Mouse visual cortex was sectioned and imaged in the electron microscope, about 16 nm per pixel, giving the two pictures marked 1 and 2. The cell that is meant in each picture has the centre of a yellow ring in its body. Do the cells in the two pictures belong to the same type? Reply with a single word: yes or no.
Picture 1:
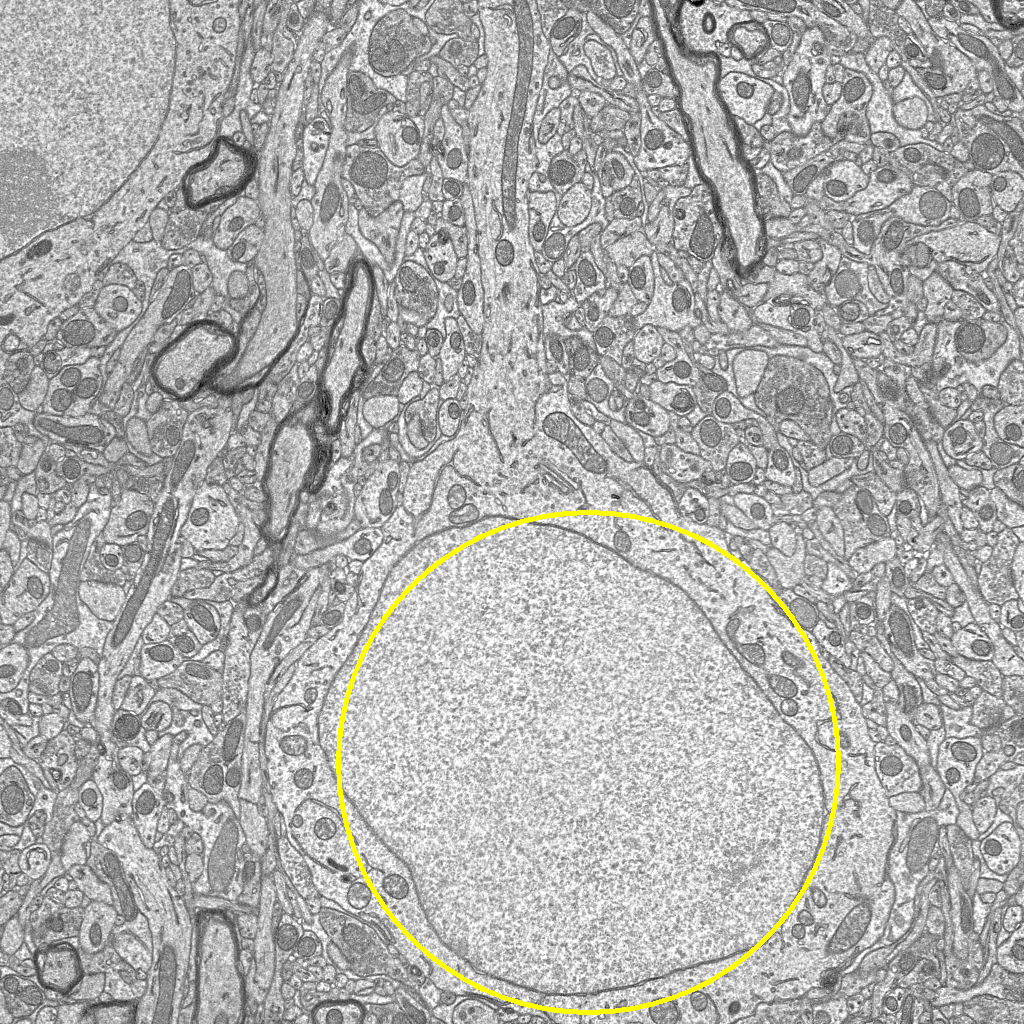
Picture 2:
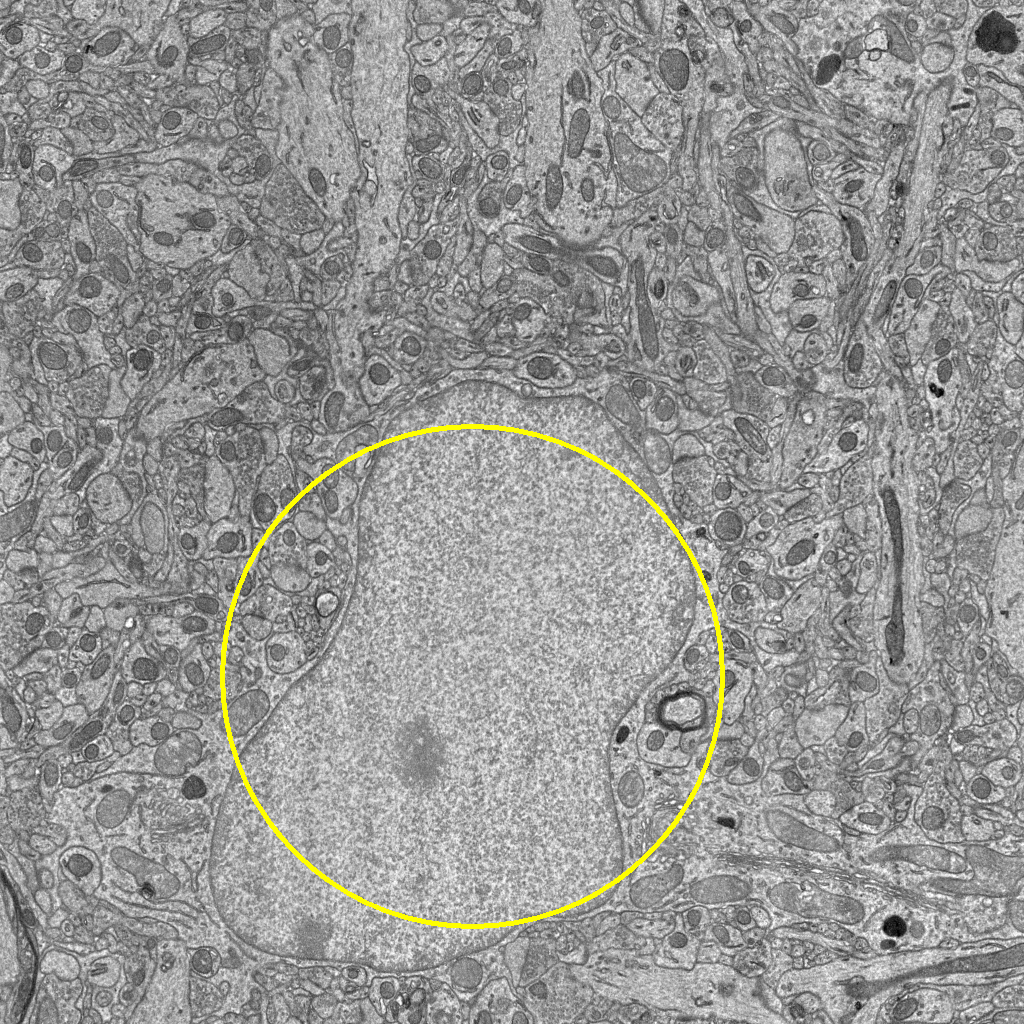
no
